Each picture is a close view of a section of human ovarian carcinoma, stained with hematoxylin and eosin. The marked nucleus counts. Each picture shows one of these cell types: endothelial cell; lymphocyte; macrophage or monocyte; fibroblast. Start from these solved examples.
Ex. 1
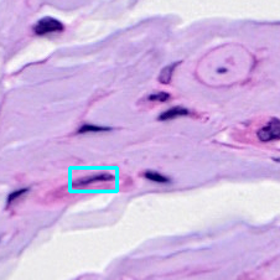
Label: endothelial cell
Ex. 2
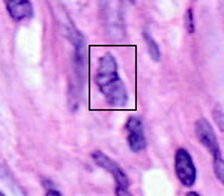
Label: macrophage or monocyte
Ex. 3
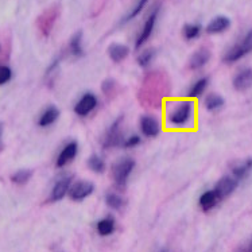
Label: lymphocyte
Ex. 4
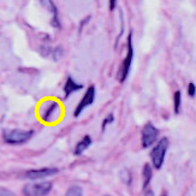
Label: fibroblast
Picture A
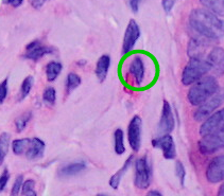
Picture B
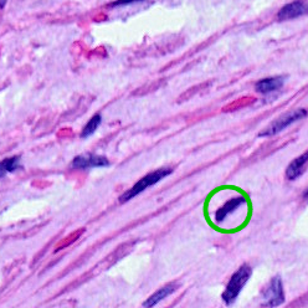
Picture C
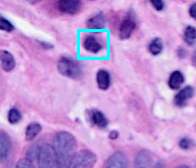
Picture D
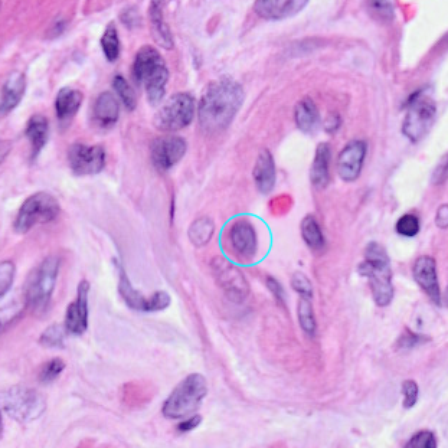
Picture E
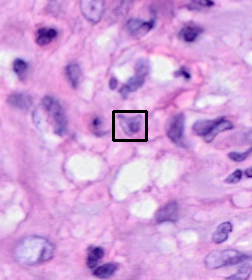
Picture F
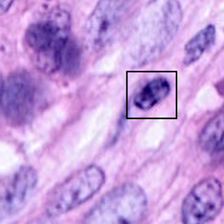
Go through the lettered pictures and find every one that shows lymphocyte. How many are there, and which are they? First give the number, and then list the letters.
Count: 2 (C, F)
